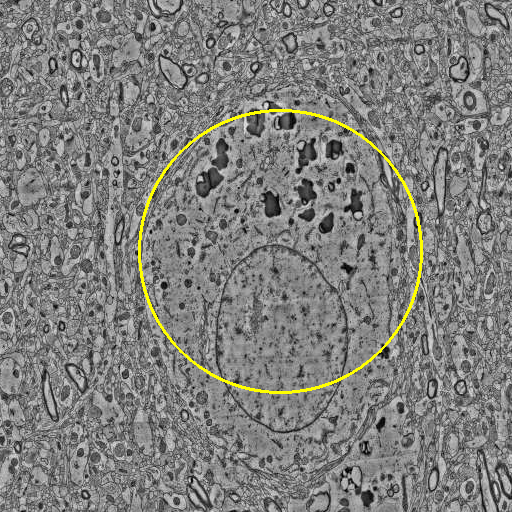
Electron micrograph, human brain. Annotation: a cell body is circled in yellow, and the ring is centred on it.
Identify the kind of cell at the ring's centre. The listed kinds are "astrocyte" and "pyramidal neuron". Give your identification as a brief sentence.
The circled cell body is that of a pyramidal neuron.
